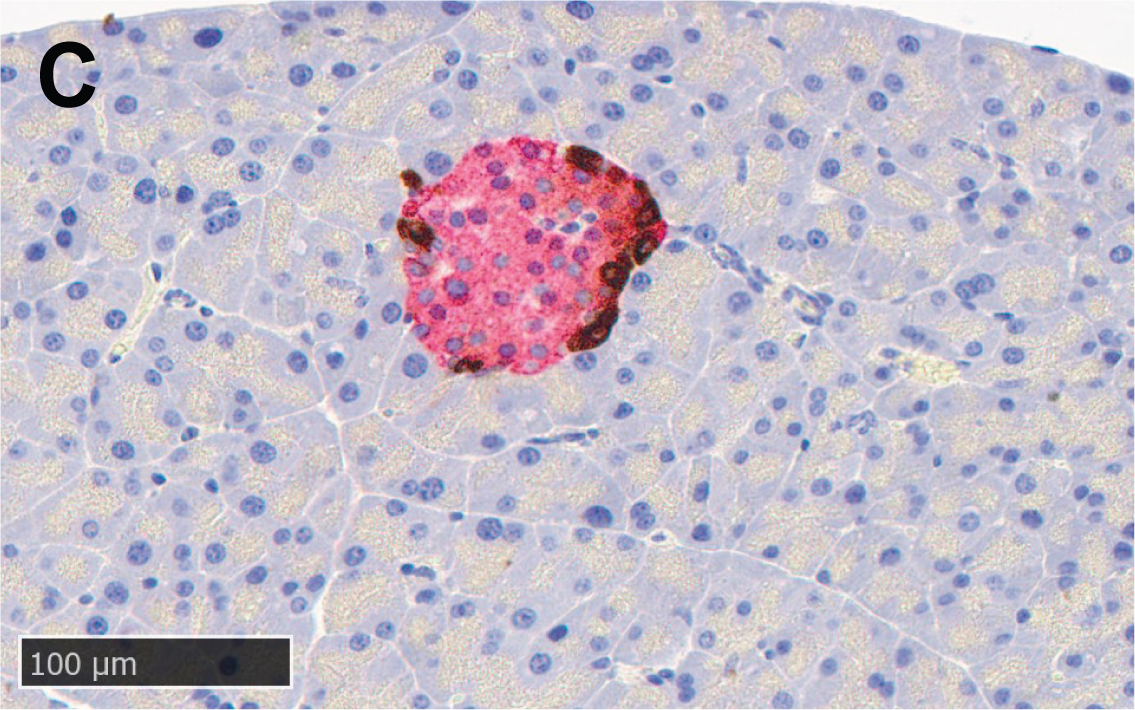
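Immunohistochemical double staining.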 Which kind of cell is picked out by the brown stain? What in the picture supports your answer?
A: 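Glucagon-producing cells. Brown-stained cells lie at the rim of the round cell cluster. The cluster's core is stained red.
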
